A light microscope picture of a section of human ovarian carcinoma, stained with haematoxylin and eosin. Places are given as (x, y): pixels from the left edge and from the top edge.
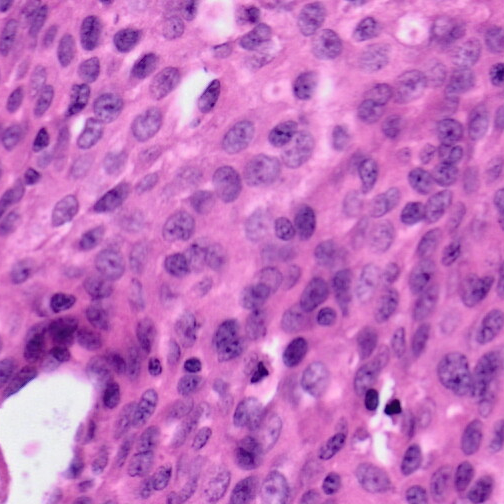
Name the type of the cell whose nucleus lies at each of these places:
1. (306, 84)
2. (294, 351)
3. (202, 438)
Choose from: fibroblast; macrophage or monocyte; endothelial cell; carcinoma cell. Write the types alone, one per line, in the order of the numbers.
macrophage or monocyte
carcinoma cell
macrophage or monocyte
